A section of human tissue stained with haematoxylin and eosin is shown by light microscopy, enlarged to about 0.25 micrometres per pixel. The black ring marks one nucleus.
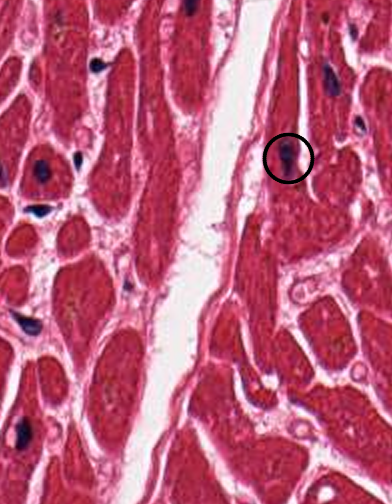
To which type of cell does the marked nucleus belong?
cardiomyocyte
